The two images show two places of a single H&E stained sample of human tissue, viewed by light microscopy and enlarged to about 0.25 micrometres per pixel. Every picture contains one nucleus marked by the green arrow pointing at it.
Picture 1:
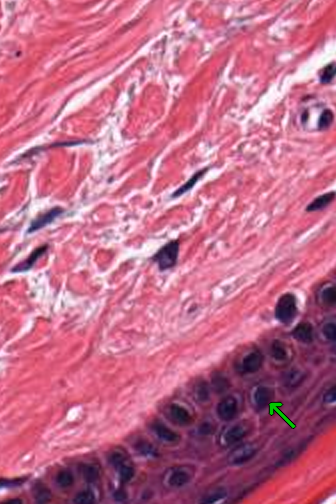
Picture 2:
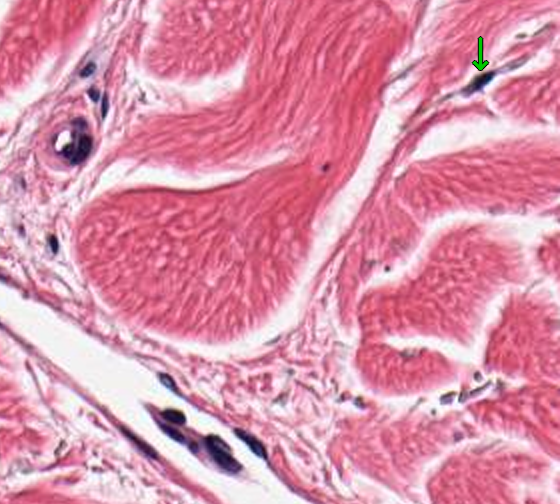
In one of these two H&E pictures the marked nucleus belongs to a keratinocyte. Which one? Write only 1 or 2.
1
